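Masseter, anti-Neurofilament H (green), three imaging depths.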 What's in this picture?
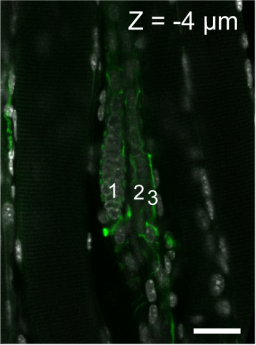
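Long striated muscle fibers run vertically, with grey elongated nuclei scattered along their edges. In the centre lies a narrower bundle packed with many grey rounded nuclei, clustered densely along thin fibers. Fine green nerve branches run along and wrap around this bundle. This is a spindle complex, its thin intrafusal fibers, including chain fibers, encircled by sensory nerve endings.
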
